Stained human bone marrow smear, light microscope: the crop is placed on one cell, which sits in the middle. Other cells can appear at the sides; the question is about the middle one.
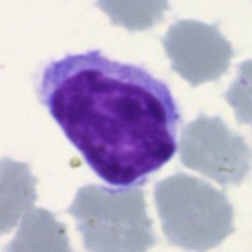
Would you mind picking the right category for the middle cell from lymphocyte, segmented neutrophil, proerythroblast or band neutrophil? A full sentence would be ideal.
For this crop, the central cell is a lymphocyte.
